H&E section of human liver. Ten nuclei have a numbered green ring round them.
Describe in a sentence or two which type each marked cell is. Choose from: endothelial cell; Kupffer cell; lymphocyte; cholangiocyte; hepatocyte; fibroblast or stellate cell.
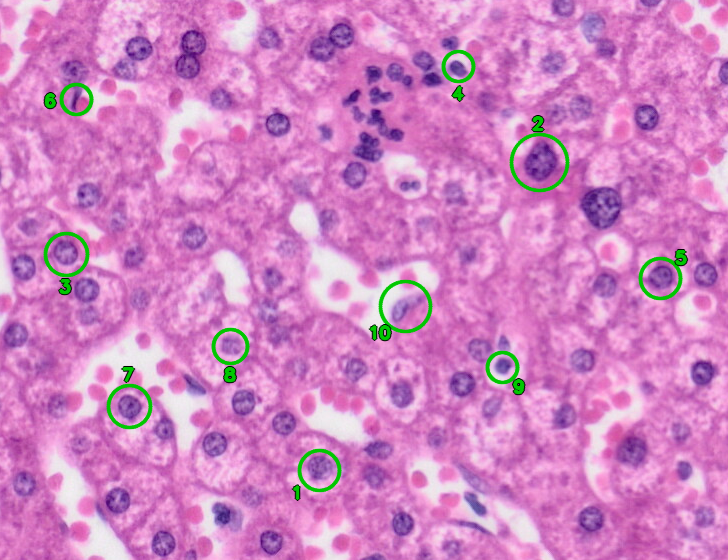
Cells 1, 2, 3, 5, 7 and 8 are hepatocytes. Cells 4 and 9 are lymphocytes. Cell 6 is an endothelial cell. Cell 10 is a Kupffer cell.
